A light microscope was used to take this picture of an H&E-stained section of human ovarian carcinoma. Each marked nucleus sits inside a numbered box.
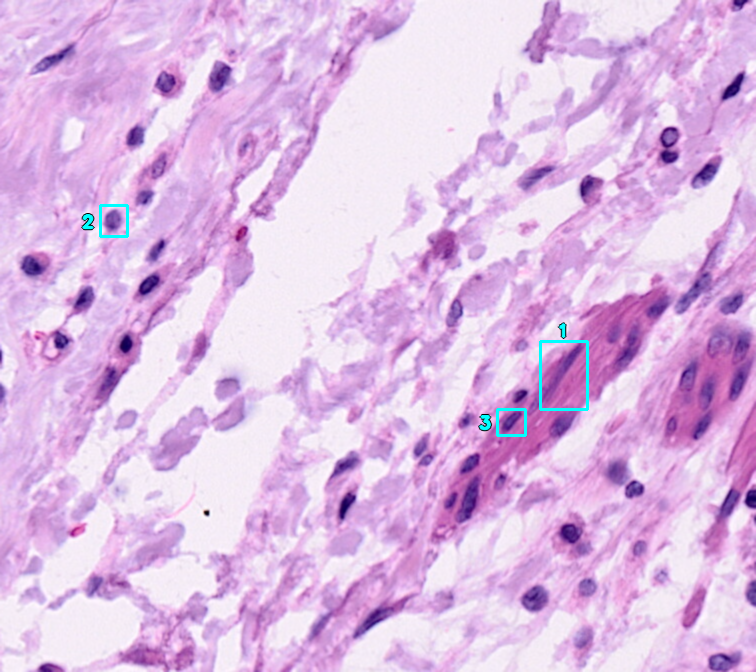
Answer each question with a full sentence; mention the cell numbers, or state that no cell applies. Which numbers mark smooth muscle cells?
In terms of cell type, cells 1 and 3 are smooth muscle cells.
